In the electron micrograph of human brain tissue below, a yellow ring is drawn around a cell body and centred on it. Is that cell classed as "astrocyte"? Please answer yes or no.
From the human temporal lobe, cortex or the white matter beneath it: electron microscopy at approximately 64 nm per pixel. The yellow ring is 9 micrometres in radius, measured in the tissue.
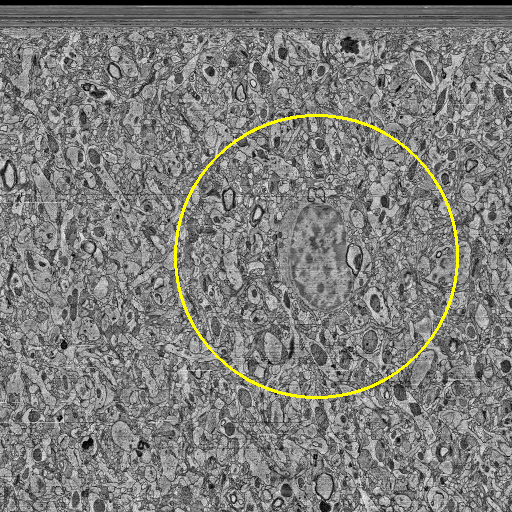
no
